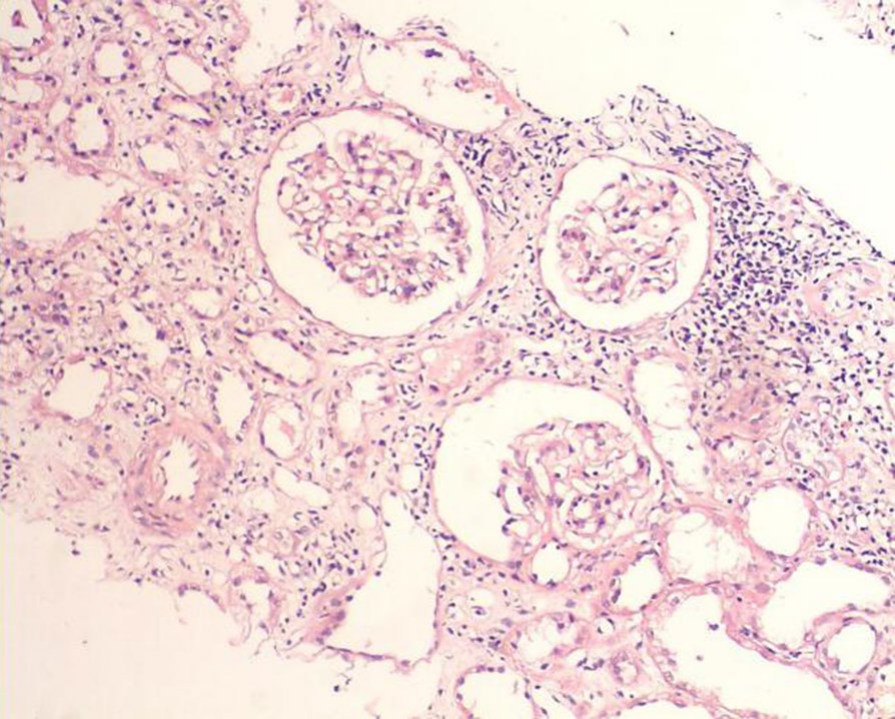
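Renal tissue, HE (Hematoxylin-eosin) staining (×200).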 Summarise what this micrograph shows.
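This section of kidney cortex shows atrophic tubules, widened fibrotic interstitium and an interstitial infiltrate of inflammatory cells, with three glomeruli. The glomeruli are round tufts of capillary loops within clear Bowman's spaces and look relatively preserved. Around them the tubules are lined by thin, flattened epithelium with pale pink cytoplasm and have wide, often empty lumens. The tubules lie spaced apart by a broadened interstitium of pale pink fibrous tissue that holds many scattered small dark nuclei. In the upper right a dense collection of these small round cells crowds the interstitium next to a glomerulus. A small artery with a thick pink wall and a narrowed lumen lies at the lower left.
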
